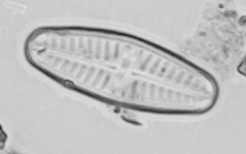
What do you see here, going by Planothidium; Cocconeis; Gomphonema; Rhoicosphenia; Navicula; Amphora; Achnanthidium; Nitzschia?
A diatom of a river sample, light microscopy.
I see Planothidium.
